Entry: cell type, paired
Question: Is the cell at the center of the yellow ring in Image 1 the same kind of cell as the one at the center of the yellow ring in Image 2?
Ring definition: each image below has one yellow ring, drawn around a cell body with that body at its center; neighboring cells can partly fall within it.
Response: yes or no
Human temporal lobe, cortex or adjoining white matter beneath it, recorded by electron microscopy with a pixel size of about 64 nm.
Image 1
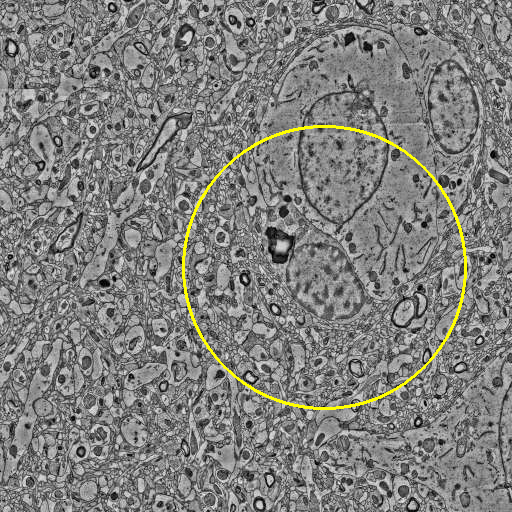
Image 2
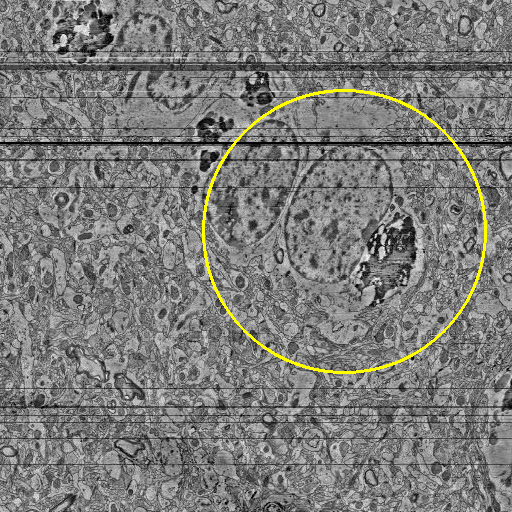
no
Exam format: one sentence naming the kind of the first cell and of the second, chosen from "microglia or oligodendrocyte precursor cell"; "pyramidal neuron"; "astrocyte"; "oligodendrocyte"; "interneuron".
The first picture's cell is an oligodendrocyte, and the second picture's cell is an astrocyte.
